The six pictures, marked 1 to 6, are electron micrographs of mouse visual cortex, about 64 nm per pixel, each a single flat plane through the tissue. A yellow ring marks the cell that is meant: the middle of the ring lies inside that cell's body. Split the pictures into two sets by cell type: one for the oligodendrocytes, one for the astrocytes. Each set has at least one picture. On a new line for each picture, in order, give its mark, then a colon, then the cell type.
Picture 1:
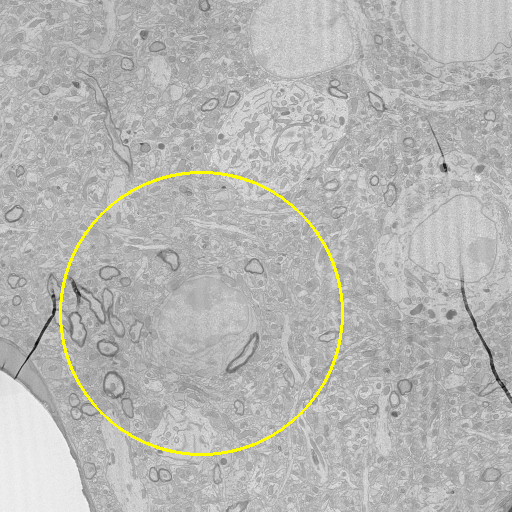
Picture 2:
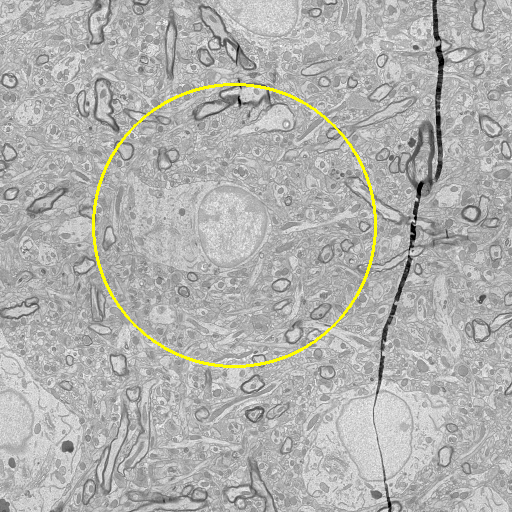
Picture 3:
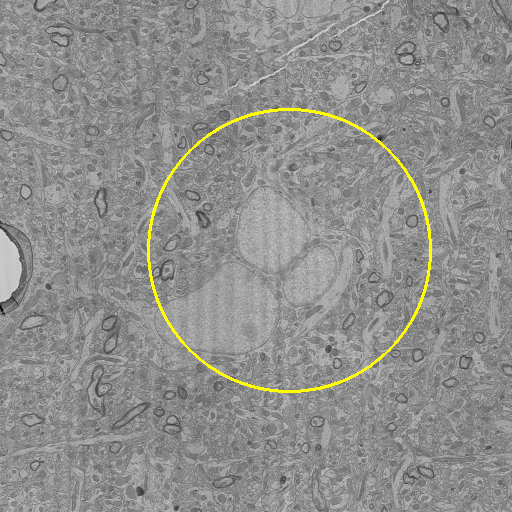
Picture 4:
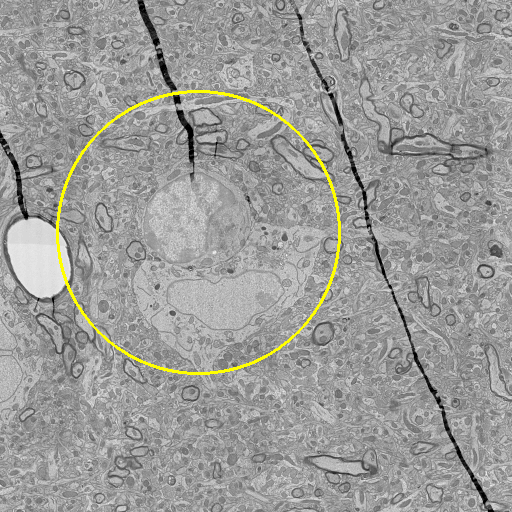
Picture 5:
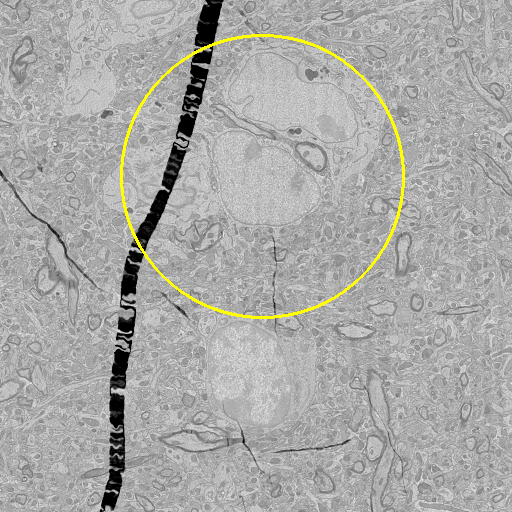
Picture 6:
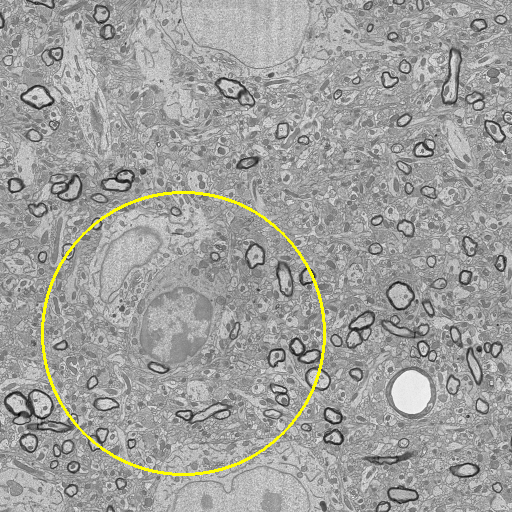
1: oligodendrocyte
2: oligodendrocyte
3: astrocyte
4: oligodendrocyte
5: astrocyte
6: oligodendrocyte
